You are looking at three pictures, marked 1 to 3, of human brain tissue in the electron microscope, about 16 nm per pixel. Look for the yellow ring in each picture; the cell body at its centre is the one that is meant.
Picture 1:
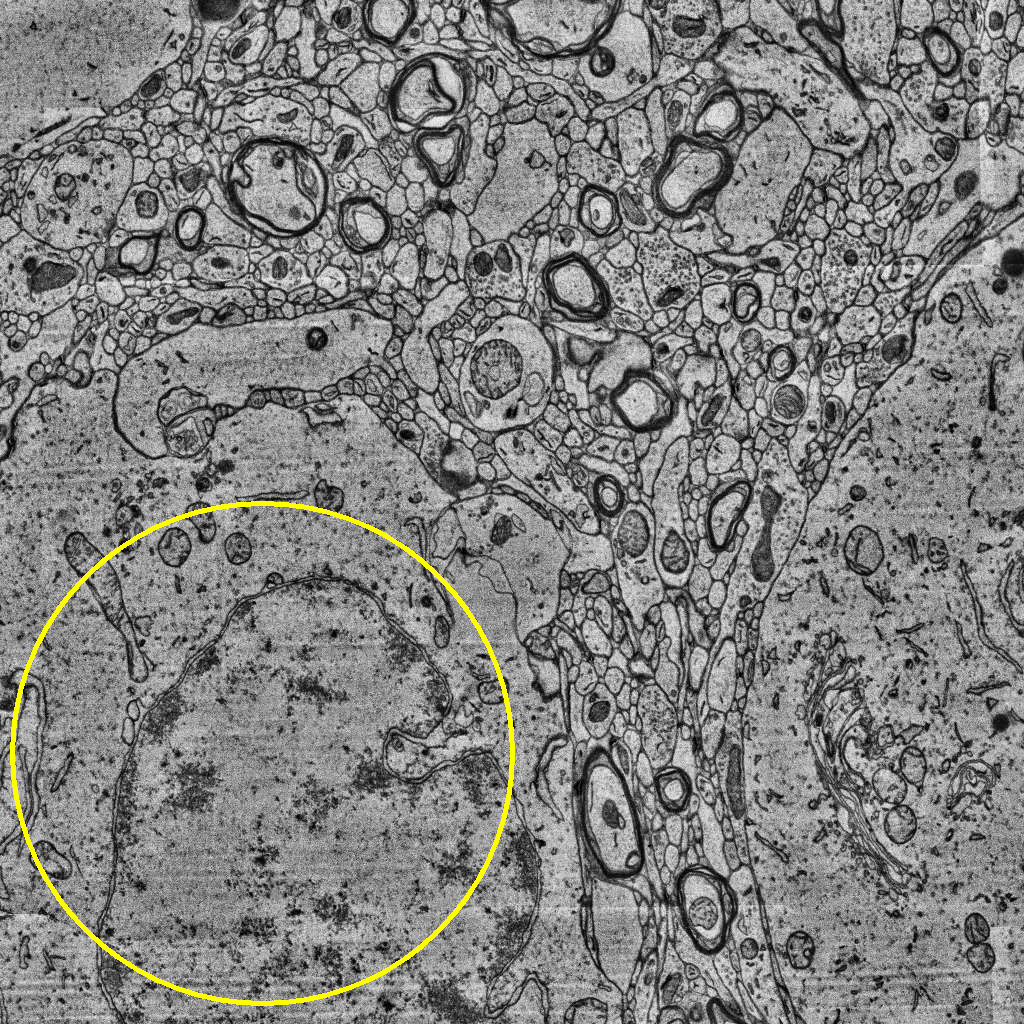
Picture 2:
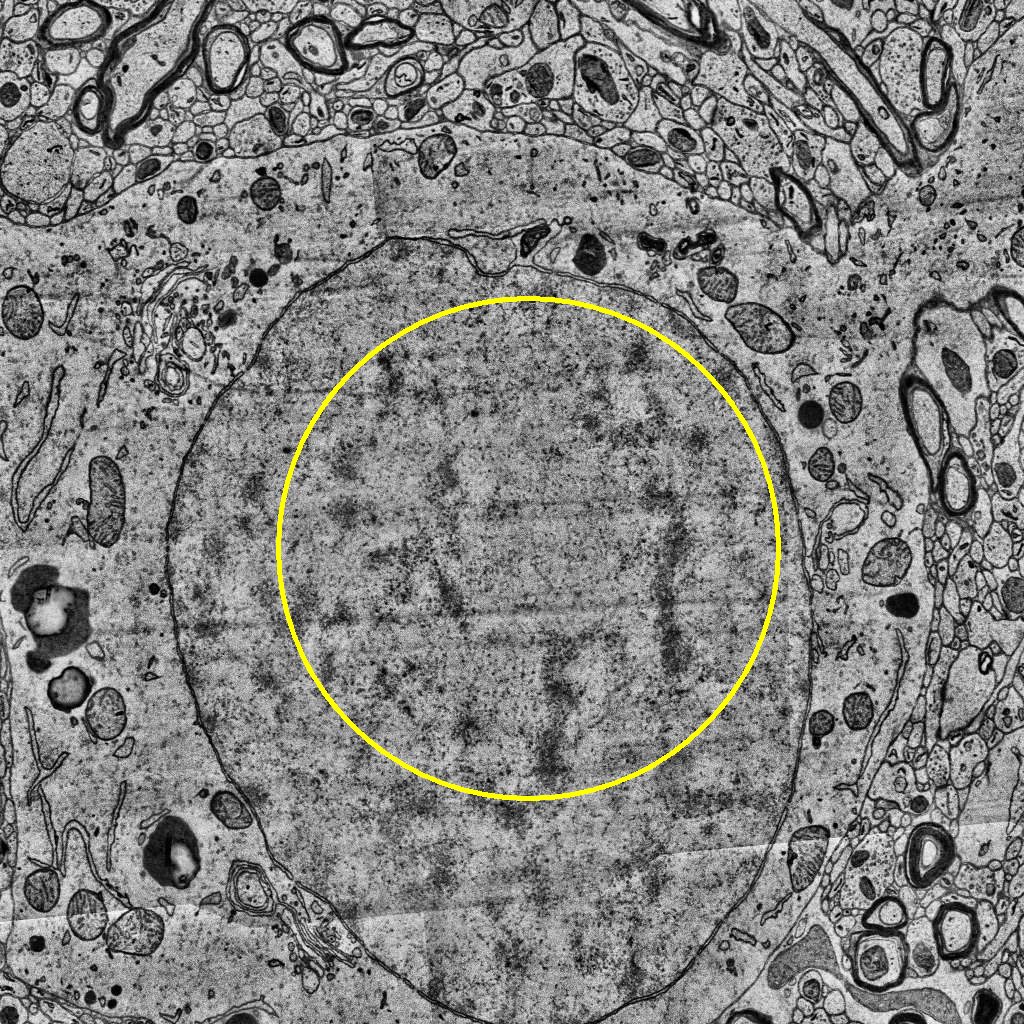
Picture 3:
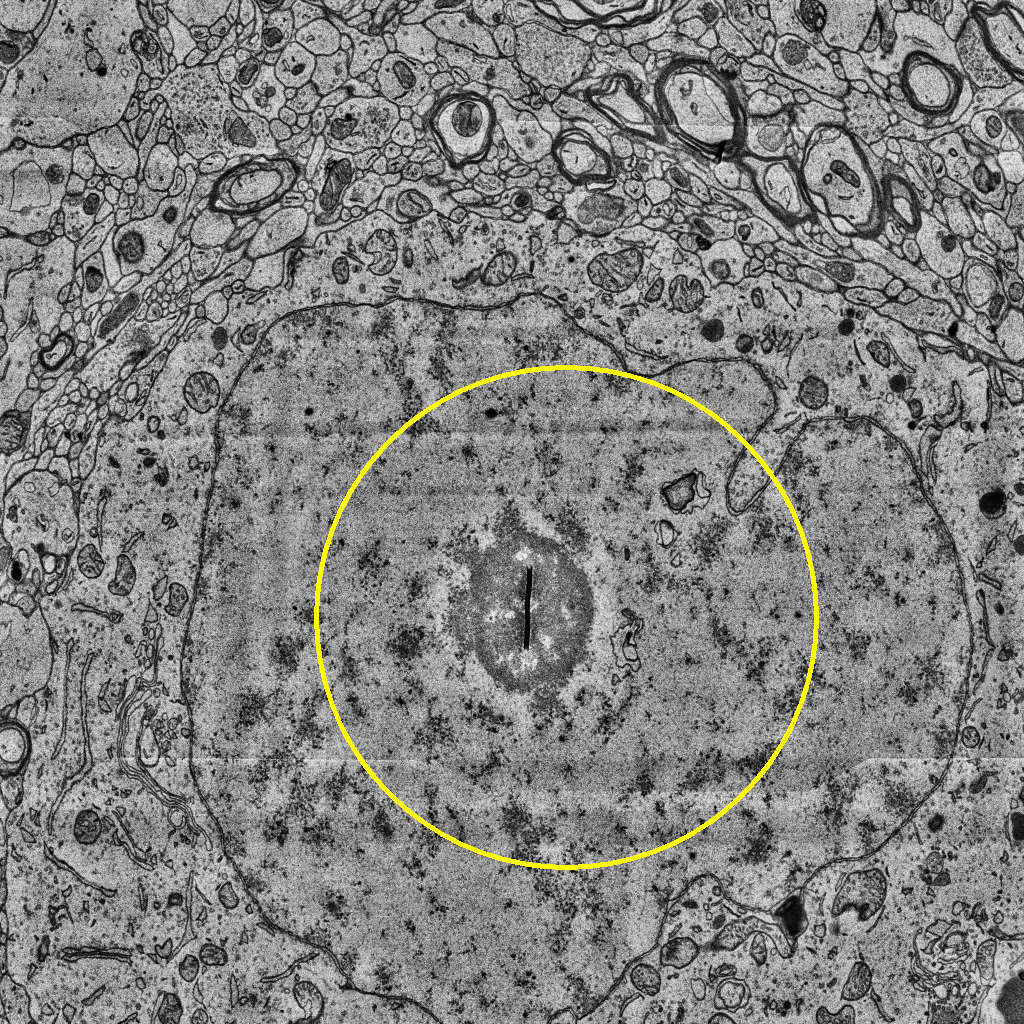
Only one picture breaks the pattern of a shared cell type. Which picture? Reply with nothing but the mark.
1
